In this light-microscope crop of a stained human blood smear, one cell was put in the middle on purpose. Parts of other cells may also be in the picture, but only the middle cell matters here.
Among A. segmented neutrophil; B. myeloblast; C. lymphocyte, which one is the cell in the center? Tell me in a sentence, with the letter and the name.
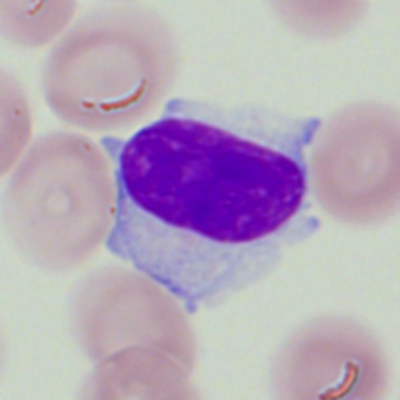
Option C is the correct selection, for the cell at the centre is a lymphocyte.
